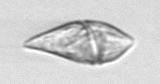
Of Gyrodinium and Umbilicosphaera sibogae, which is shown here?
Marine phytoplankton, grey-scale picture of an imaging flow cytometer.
Gyrodinium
